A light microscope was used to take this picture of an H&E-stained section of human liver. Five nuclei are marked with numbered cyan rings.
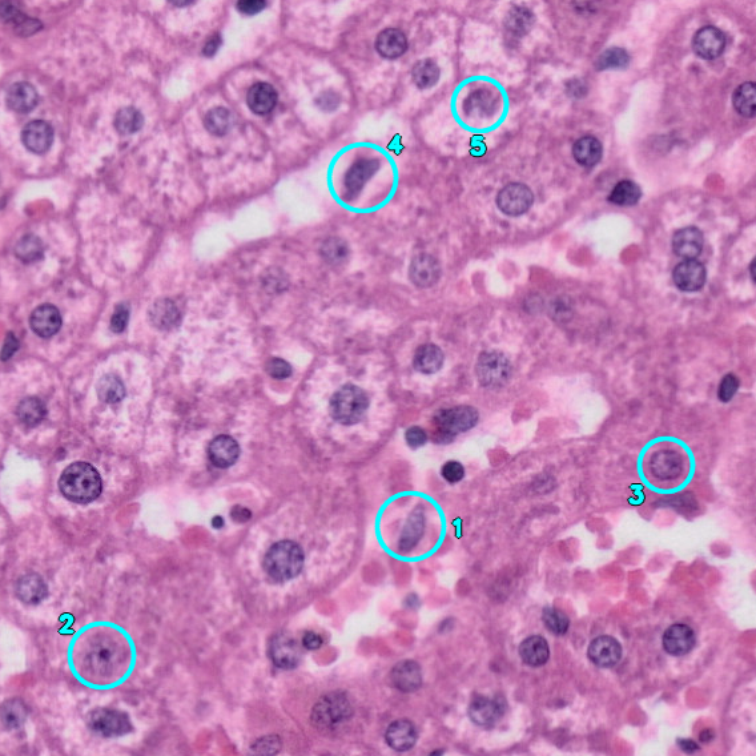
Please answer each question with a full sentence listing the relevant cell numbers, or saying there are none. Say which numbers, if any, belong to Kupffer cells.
The cells carrying the numbers 1 and 4 are Kupffer cells.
